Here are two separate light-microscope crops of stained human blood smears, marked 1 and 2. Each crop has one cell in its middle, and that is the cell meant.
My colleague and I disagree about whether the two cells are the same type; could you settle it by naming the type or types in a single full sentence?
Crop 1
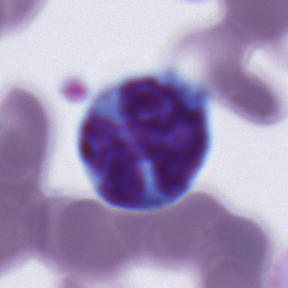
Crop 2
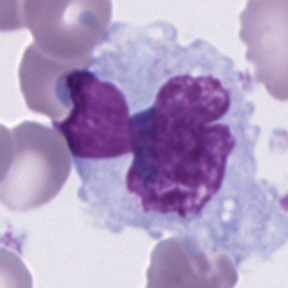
Yes, both crops show monocytes, one in each.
